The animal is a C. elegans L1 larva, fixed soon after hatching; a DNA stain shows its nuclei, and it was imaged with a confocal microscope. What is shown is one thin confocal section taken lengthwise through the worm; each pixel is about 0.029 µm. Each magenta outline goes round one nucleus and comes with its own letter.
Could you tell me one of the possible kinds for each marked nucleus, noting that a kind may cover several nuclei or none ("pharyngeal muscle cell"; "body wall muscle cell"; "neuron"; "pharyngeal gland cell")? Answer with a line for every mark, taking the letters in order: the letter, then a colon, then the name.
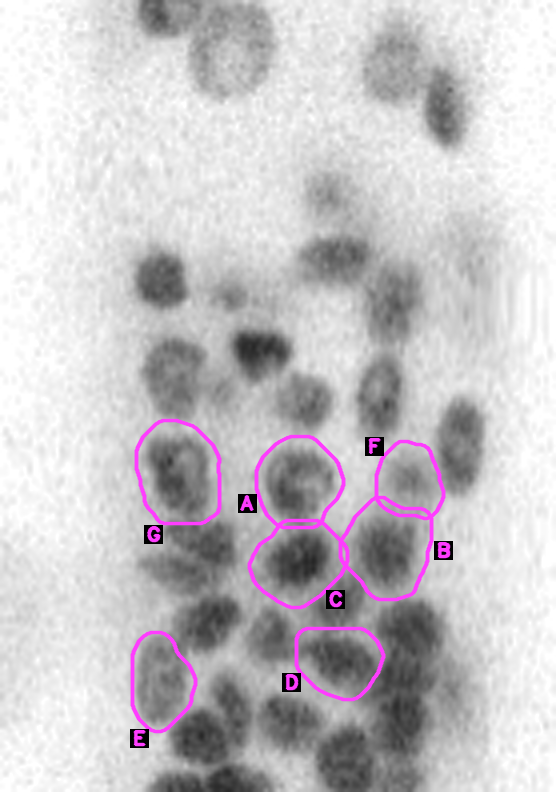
A: pharyngeal muscle cell
B: pharyngeal gland cell
C: neuron
D: neuron
E: body wall muscle cell
F: neuron
G: body wall muscle cell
